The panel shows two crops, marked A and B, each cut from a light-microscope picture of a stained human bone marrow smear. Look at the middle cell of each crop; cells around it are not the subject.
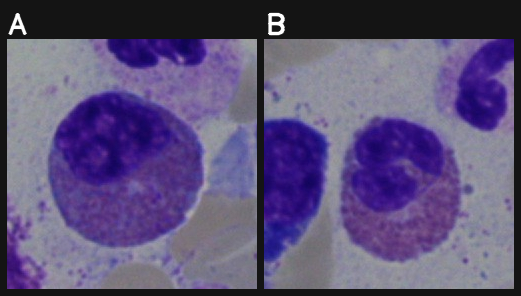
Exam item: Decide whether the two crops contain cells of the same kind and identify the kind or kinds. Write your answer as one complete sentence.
Yes, both crops show a cell each, and these are eosinophils.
